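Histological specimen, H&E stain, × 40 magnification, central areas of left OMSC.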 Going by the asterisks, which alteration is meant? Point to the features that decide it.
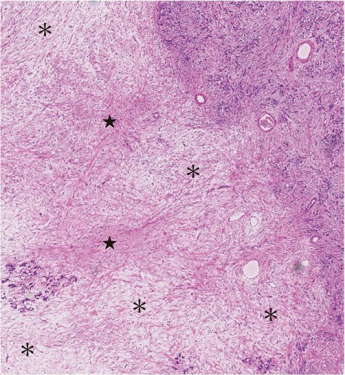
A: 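The asterisks lie on pale, loosely textured stroma with much clear space between the fibres. These areas are stained lighter pink than the bands beside them. On this evidence: edematous.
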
